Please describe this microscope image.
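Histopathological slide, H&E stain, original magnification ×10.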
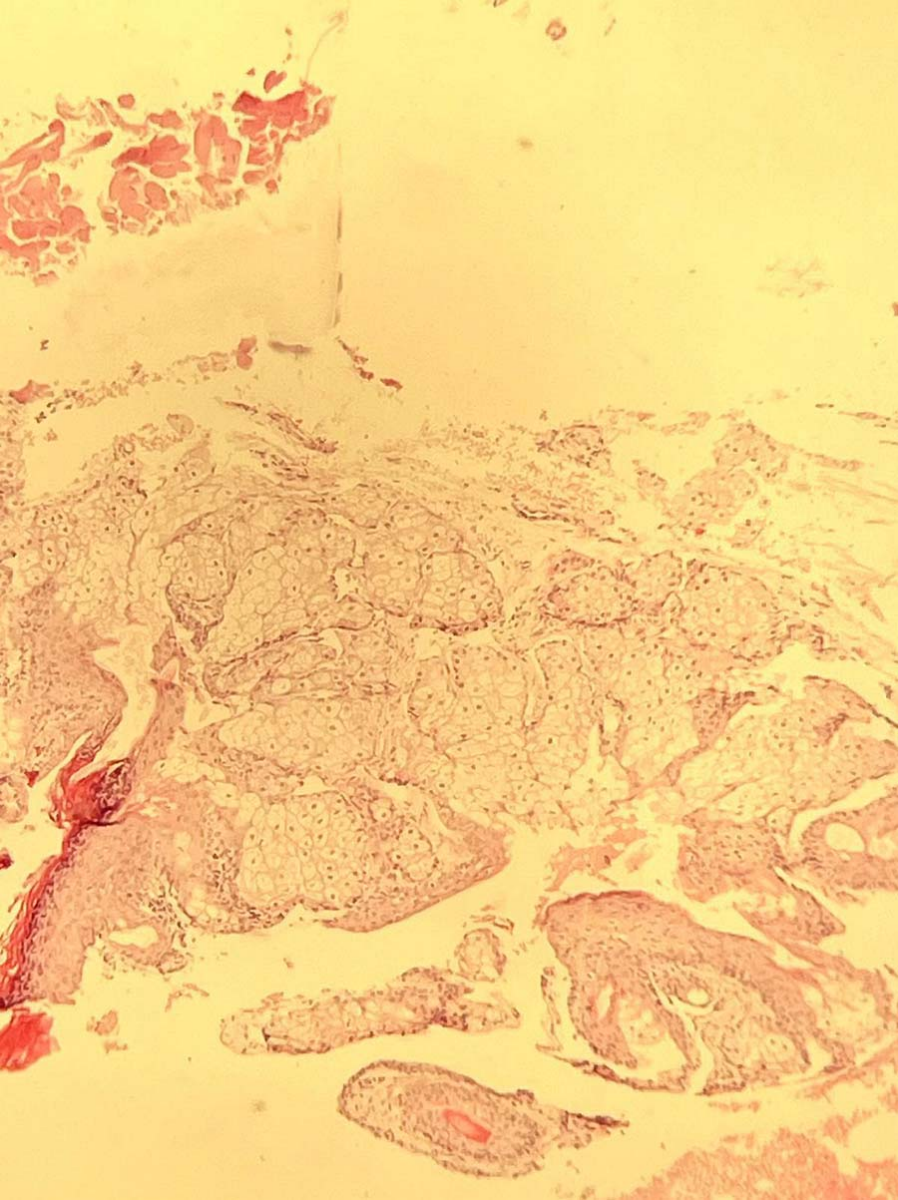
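Bands of stratified epithelium made of densely packed, darker pink cells run along the left edge and across the lower right. Between them lie rounded lobules of large pale cells with foamy, finely bubbly cytoplasm and small central nuclei, separated by thin strands of connective tissue. Fragments of bright red-pink material lie apart from the tissue at the top left.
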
